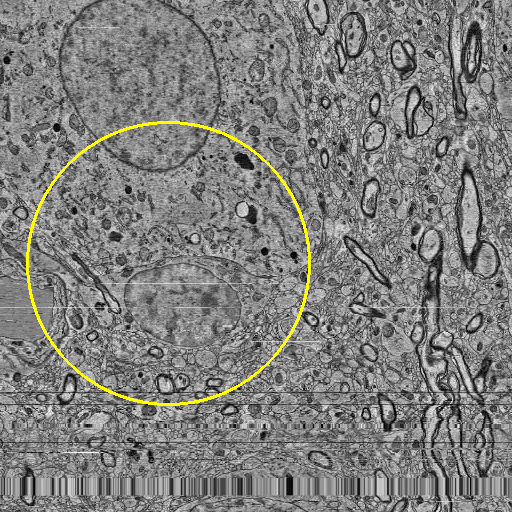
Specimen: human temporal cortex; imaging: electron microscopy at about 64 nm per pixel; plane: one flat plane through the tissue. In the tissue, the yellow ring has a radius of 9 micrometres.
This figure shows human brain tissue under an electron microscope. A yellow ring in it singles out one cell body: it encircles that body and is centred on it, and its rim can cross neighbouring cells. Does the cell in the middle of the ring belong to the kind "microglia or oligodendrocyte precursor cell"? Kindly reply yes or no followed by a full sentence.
No, the cell centred in the figure's ring belongs to a different kind from the one asked.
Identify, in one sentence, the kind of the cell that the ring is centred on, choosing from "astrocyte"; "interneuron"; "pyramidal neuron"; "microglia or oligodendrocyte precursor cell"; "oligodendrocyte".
The ring's central cell is an oligodendrocyte instead.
